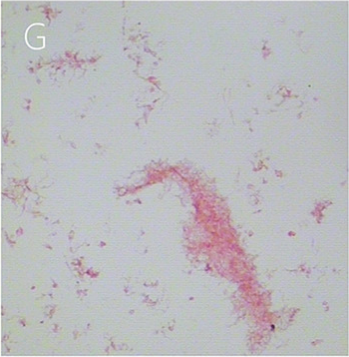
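The smear shows pink, wispy, fibrillar material scattered over a pale background, with one larger elongated clump in the middle. No nucleated cells can be made out anywhere in the field.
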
